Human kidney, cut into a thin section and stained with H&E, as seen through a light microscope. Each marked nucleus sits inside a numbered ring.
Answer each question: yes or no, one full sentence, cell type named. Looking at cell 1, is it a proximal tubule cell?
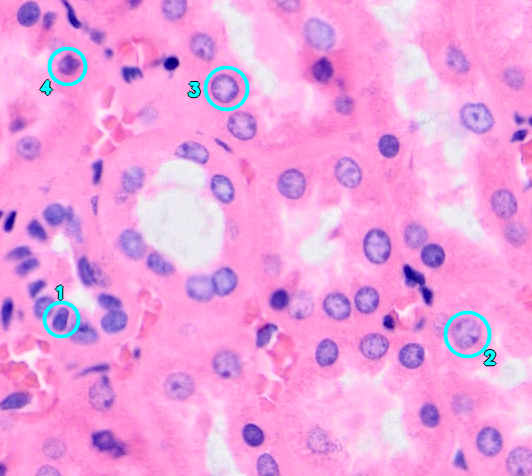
No, cell 1 is identified not as a proximal tubule cell but as a collecting duct cell.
